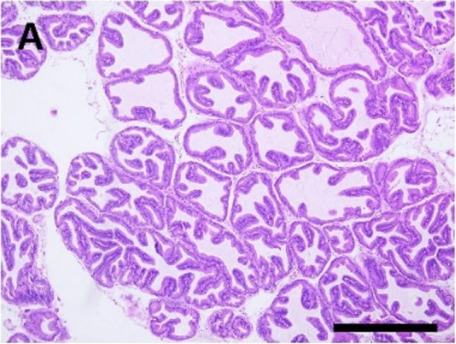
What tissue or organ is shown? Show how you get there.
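Prostate. Many closely packed glands separated by thin strands of stroma. Glands are lined by epithelium forming papillary infoldings into the lumen. Lumens contain pale pink material.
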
